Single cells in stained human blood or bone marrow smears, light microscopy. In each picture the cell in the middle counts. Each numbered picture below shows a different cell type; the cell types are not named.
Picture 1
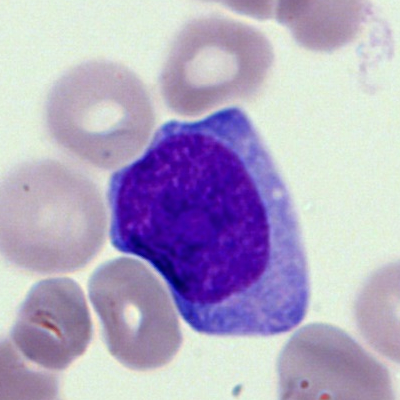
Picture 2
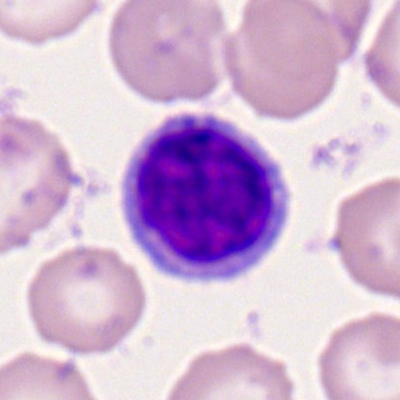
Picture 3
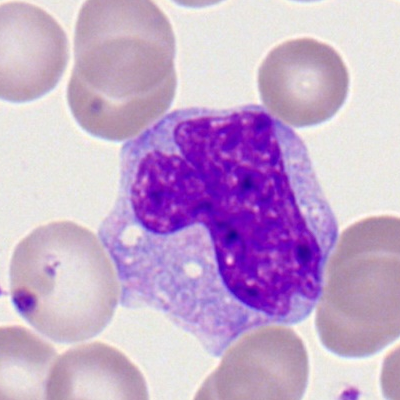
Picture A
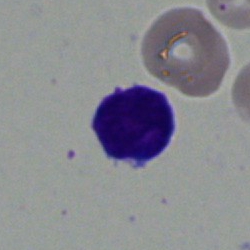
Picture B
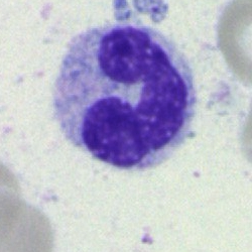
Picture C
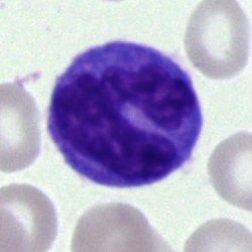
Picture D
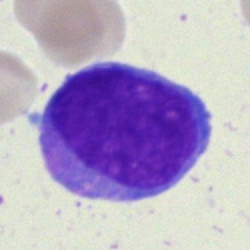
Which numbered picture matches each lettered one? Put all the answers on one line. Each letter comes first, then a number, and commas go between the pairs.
A 2, B 3, C 3, D 1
